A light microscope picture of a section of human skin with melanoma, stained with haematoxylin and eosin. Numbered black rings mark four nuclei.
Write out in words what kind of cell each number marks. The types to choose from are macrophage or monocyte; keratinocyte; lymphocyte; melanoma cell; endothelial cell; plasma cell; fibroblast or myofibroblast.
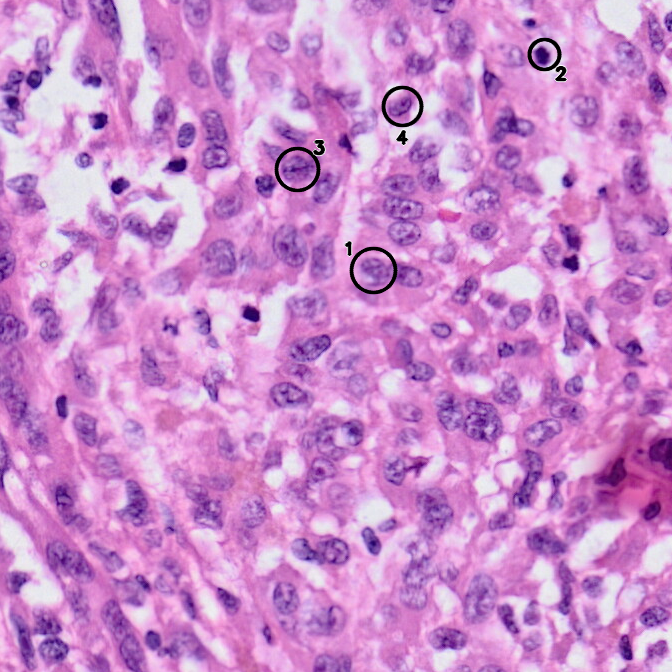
Cell 1 is a melanoma cell, cell 2 is a lymphocyte, cell 3 is a melanoma cell and cell 4 is a melanoma cell.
